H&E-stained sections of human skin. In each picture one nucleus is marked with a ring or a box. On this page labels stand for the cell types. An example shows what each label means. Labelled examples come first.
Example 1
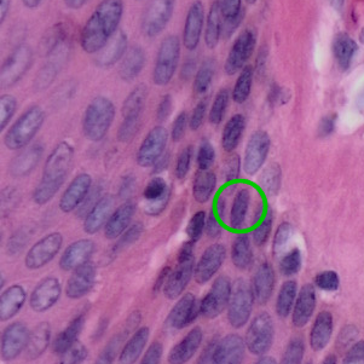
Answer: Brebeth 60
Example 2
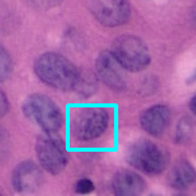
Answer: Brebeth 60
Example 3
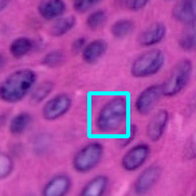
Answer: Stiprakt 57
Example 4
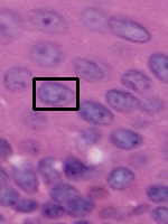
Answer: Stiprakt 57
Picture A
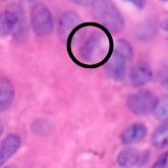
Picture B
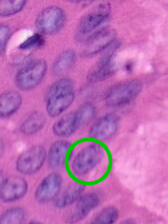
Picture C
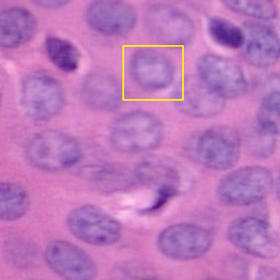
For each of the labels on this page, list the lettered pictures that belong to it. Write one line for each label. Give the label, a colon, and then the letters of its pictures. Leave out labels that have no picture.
Brebeth 60: A, B
Stiprakt 57: C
